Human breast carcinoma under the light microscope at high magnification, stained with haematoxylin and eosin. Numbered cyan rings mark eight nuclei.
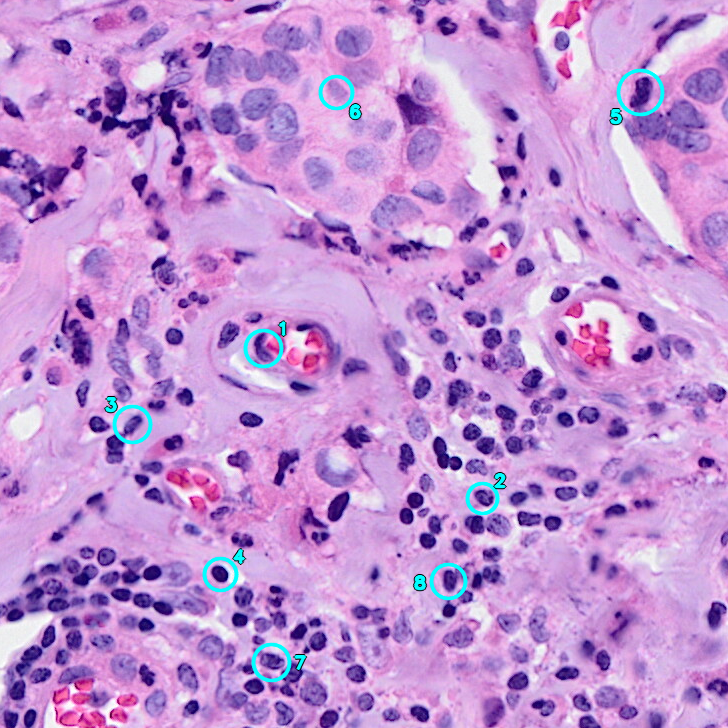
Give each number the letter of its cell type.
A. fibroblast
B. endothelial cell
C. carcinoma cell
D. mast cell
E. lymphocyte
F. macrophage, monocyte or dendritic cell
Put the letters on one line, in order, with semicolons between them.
B; E; E; E; C; C; E; E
